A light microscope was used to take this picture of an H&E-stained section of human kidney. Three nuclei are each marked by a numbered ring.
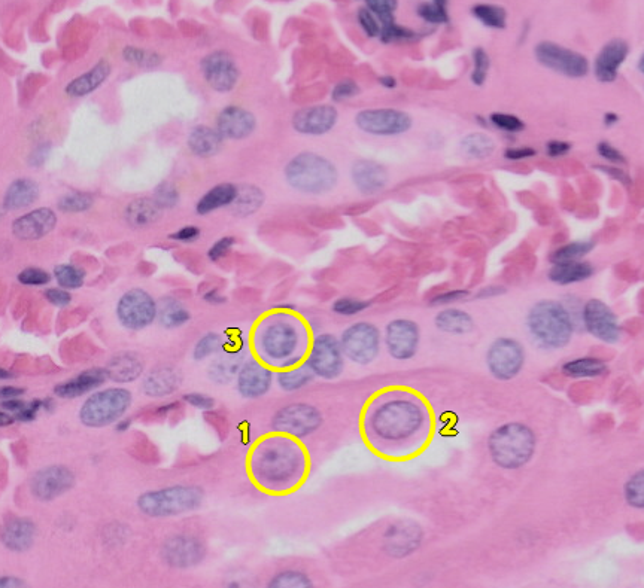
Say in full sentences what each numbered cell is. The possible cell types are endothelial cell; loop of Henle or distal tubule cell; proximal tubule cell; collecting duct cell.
Cells 1 and 2 are proximal tubule cells. Cell 3 is a collecting duct cell.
